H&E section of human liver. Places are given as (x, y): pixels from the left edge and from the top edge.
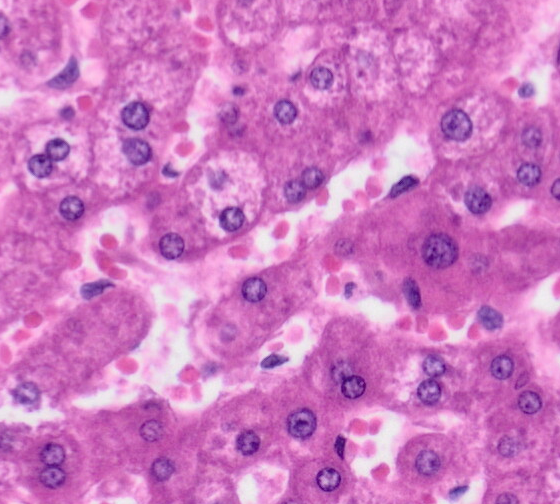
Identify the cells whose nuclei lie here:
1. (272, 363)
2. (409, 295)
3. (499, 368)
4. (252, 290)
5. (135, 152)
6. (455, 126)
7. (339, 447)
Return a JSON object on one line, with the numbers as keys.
{"1": "endothelial cell", "2": "fibroblast or stellate cell", "3": "hepatocyte", "4": "hepatocyte", "5": "hepatocyte", "6": "hepatocyte", "7": "fibroblast or stellate cell"}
